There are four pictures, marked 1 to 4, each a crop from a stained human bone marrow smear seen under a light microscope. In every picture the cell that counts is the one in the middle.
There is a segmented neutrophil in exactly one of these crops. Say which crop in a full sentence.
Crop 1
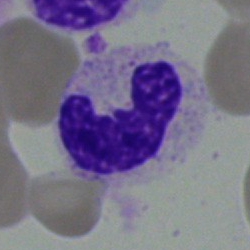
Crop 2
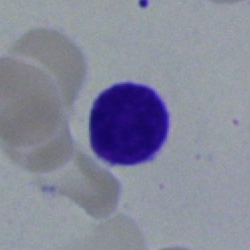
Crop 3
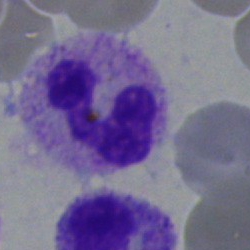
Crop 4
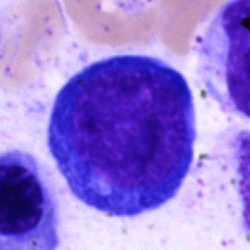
Crop 3 is the crop that displays a segmented neutrophil.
